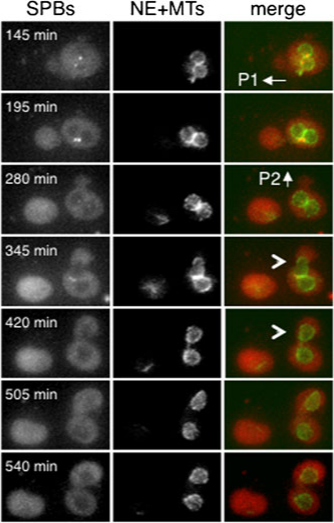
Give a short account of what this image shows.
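In the merged views the cell bodies fill with diffuse red, while green rings outline the nuclei and green threads show the microtubules. Small bright dots in the first column mark the poles from which the spindle grows. As the series goes on, a new rounded compartment bulges out from the cell, and one of the green-ringed nuclei comes to lie within it. By the last rows two round compartments sit side by side, each holding its own nucleus, while a separate red cell without a green ring lies to the left.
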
